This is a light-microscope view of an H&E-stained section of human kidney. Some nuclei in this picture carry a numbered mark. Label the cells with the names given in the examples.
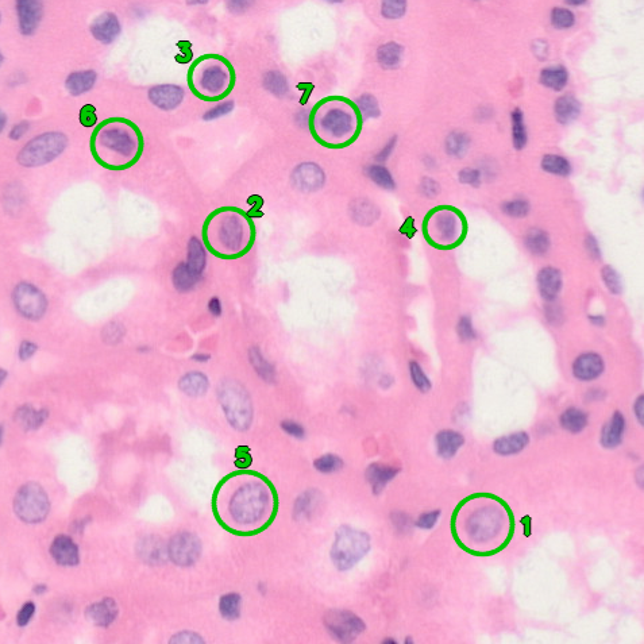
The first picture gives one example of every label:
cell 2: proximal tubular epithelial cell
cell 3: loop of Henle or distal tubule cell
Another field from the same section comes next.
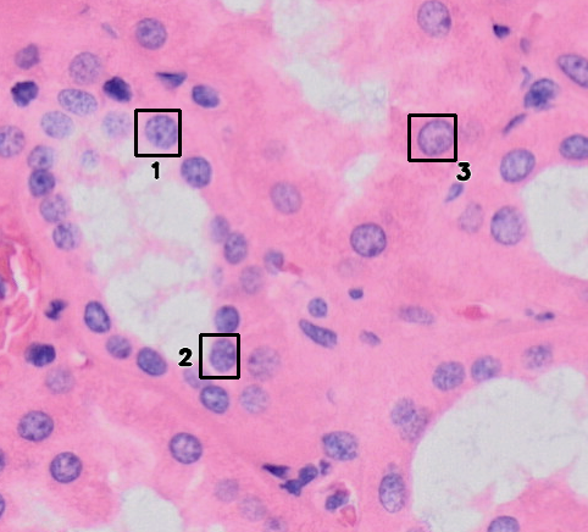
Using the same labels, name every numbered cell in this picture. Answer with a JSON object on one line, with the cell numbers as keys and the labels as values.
{"1": "loop of Henle or distal tubule cell", "2": "loop of Henle or distal tubule cell", "3": "proximal tubular epithelial cell"}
